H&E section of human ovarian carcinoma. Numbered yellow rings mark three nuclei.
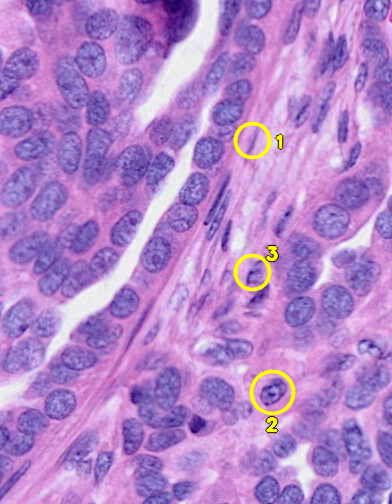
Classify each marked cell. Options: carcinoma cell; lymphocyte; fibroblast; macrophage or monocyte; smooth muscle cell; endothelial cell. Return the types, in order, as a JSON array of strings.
["fibroblast", "macrophage or monocyte", "fibroblast"]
